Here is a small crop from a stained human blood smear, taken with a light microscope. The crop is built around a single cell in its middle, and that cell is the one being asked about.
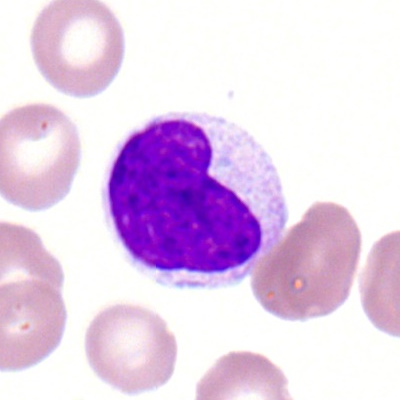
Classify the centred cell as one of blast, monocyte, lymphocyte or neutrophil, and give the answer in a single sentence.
The middle position in this crop is taken by a lymphocyte.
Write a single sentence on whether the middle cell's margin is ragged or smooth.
The outline traces a smooth curve with no projections along it.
